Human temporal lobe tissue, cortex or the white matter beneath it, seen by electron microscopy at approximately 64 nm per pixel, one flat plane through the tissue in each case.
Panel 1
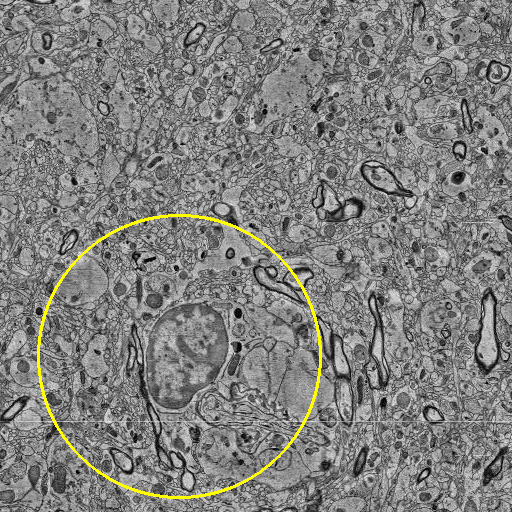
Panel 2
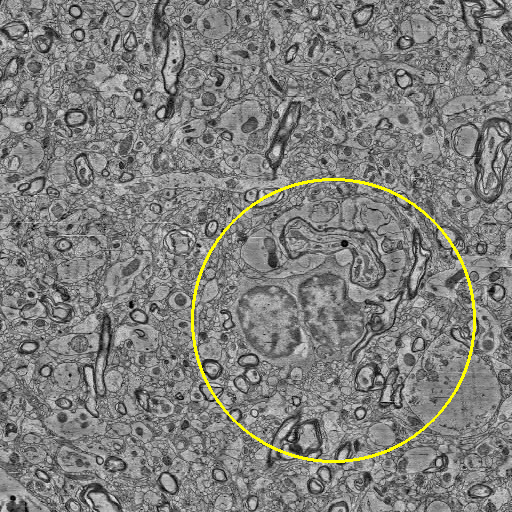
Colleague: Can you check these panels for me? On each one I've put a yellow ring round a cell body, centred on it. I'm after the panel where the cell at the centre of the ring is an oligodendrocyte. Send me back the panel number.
2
